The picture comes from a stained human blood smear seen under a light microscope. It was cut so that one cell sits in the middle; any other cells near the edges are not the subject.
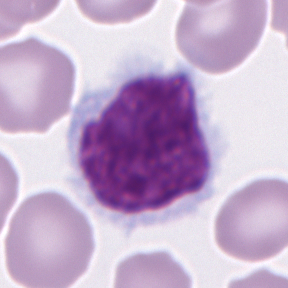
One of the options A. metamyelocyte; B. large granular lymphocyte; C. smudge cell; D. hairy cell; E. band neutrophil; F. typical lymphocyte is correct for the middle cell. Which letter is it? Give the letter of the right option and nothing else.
D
